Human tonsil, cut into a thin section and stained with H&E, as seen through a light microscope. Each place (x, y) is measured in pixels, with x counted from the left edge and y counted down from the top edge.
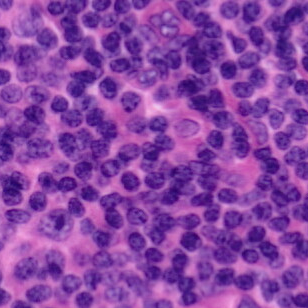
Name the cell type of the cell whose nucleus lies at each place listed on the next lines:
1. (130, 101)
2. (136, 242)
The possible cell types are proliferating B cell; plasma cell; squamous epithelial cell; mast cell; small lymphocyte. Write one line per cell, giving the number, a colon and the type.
1: plasma cell
2: small lymphocyte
